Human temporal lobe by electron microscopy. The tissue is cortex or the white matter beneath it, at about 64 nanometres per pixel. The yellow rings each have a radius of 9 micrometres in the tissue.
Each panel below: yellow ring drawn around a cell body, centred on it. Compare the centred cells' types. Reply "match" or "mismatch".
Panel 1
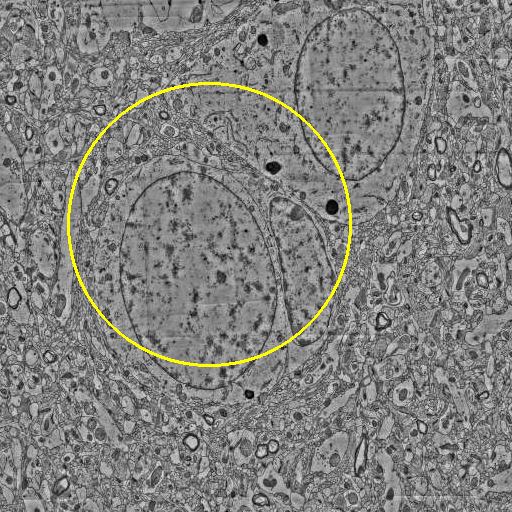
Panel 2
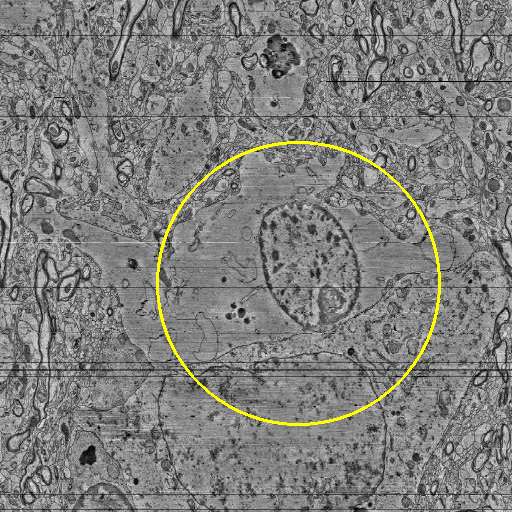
mismatch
